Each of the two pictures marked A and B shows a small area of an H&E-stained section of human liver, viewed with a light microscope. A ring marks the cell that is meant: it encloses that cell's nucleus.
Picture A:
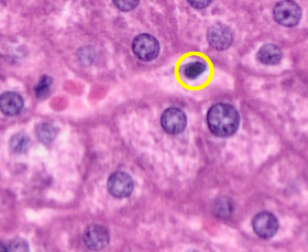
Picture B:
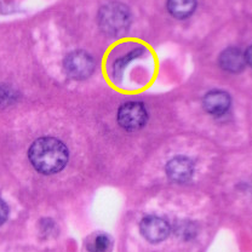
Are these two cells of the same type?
no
